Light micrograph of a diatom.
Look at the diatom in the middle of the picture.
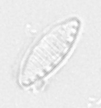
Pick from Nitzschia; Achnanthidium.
Nitzschia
